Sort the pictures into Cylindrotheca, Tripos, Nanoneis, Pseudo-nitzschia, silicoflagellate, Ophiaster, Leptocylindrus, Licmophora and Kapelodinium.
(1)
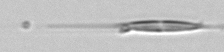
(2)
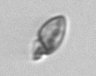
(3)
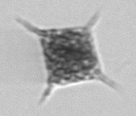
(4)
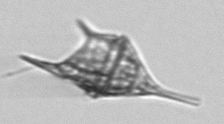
Cylindrotheca: 1
Kapelodinium: 2
Silicoflagellates: 3
Tripos: 4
